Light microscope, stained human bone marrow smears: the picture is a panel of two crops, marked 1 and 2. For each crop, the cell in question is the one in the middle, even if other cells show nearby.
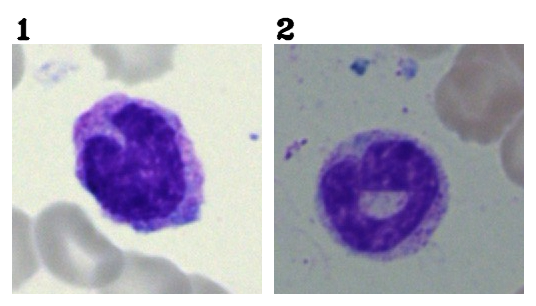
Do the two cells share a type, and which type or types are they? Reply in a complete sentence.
Yes, both crops are centred on cells that are band neutrophils.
